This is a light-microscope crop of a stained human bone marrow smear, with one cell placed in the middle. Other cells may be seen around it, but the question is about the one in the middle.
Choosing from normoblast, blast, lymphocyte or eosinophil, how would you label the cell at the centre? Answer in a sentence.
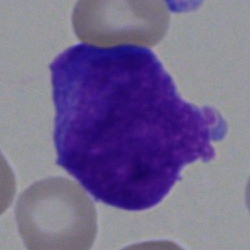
Here the centrally located cell is a blast.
